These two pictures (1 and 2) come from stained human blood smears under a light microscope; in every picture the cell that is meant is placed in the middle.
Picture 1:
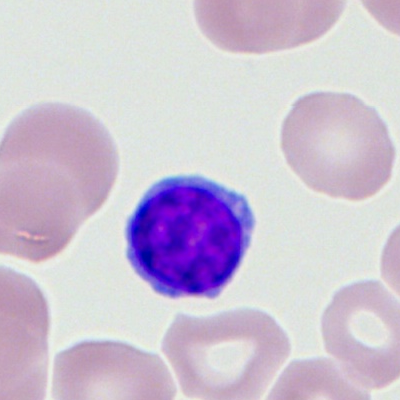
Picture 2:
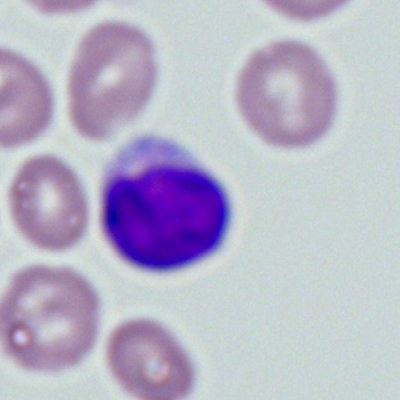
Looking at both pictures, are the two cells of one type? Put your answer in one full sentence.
Yes, the two pictures both show lymphocytes.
